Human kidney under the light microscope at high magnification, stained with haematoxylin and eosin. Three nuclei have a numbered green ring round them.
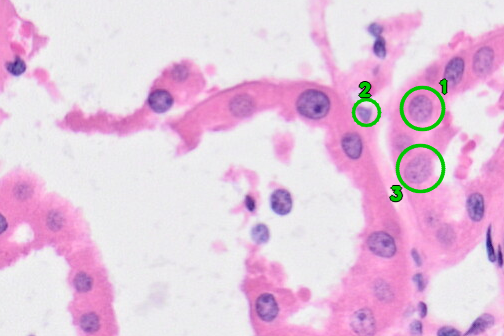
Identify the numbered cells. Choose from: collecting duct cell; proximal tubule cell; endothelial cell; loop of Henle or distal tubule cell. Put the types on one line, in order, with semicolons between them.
proximal tubule cell; endothelial cell; proximal tubule cell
